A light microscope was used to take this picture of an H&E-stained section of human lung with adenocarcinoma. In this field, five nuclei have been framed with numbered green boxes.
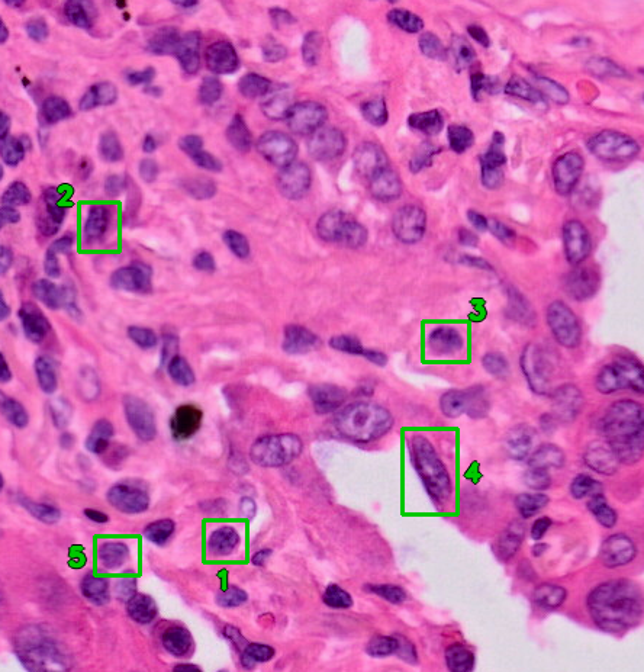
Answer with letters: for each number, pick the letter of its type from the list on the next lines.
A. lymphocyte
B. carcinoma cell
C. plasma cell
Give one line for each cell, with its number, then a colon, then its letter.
1: A
2: C
3: A
4: B
5: A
